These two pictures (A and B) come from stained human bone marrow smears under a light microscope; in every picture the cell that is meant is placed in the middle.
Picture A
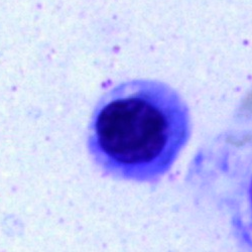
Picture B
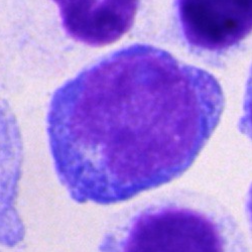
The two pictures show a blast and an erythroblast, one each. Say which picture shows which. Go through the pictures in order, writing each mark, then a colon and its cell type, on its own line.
A: erythroblast
B: blast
